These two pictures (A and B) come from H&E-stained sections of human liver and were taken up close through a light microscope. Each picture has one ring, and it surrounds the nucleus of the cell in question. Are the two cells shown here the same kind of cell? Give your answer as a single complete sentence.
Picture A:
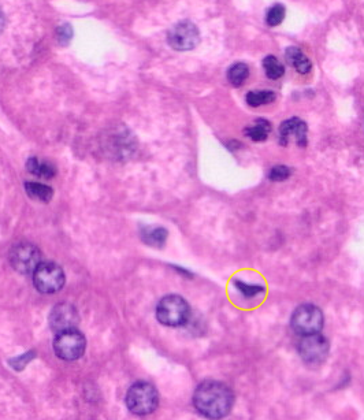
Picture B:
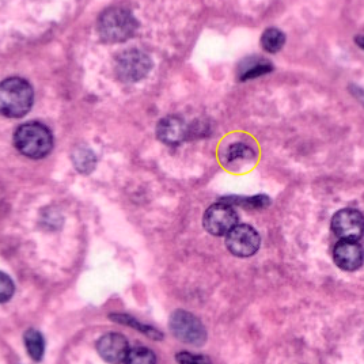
No, picture A shows an endothelial cell and picture B shows a “fibroblast or stellate cell”.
